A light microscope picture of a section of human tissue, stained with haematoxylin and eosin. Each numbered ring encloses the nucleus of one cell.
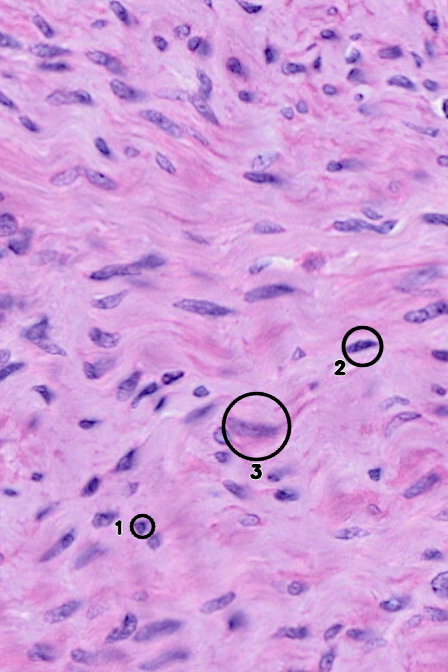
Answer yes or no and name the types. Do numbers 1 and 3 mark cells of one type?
No, cell 1 is a fibroblast and cell 3 is a smooth muscle cell.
